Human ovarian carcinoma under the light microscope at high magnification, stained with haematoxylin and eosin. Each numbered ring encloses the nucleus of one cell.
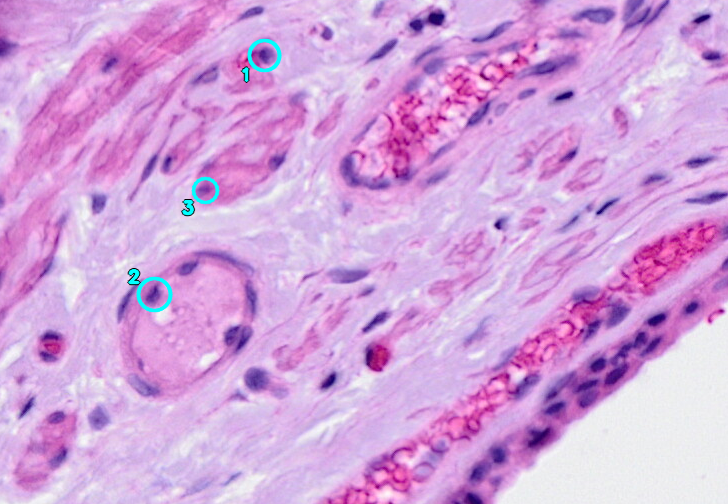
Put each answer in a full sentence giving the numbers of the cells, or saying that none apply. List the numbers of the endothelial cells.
Within the section, cells numbered 1 and 2 are endothelial cells.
